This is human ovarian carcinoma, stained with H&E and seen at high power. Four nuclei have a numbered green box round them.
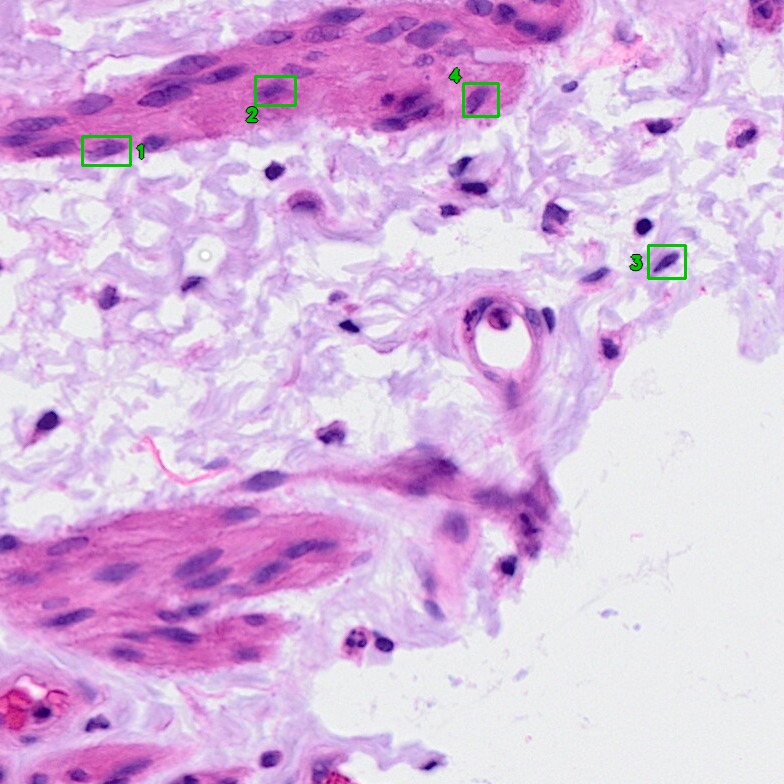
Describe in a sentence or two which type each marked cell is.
Cells 1, 2 and 4 are smooth muscle cells. Cell 3 is a fibroblast.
